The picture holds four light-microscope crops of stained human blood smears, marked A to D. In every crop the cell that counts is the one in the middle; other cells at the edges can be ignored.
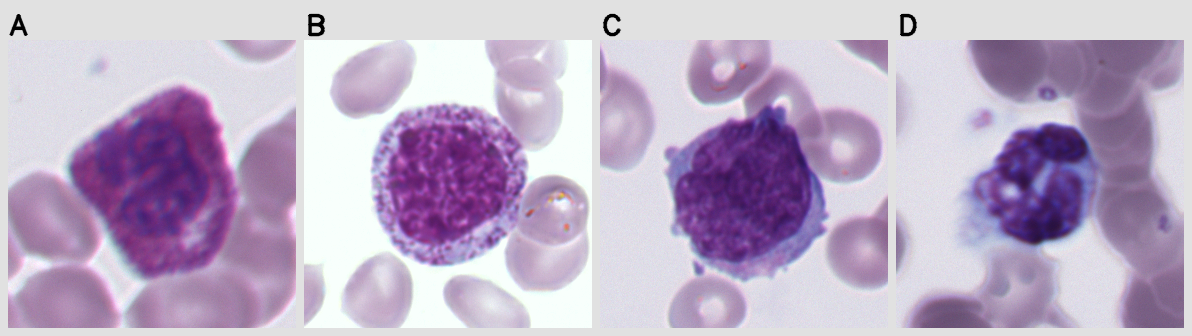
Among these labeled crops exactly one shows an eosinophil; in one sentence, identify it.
So the crop with an eosinophil at its center is crop A.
